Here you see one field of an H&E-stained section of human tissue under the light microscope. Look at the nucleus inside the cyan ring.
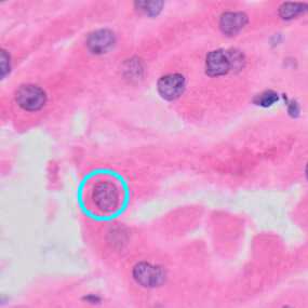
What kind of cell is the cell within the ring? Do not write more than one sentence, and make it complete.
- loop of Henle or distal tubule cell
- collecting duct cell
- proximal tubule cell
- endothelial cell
Students should answer that the cell within the ring is a proximal tubule cell.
